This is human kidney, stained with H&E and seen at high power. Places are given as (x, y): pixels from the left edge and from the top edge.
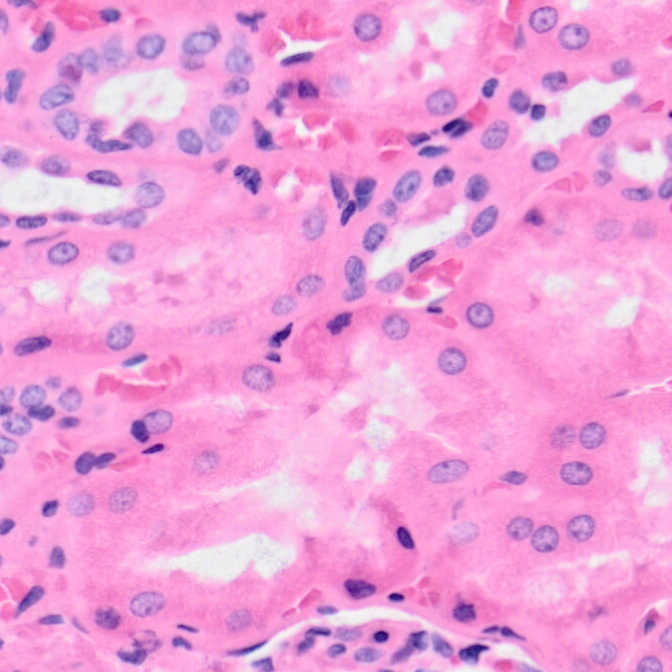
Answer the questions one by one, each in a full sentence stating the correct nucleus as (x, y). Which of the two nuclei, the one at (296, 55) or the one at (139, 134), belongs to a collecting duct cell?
The nucleus that sits at (139, 134) is the nucleus of a collecting duct cell.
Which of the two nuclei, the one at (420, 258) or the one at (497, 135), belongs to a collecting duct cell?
The pair contains one nucleus of a collecting duct cell, namely the one at (420, 258).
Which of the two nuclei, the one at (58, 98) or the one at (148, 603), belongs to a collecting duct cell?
Here the nucleus at (58, 98) is the one that belongs to a collecting duct cell.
